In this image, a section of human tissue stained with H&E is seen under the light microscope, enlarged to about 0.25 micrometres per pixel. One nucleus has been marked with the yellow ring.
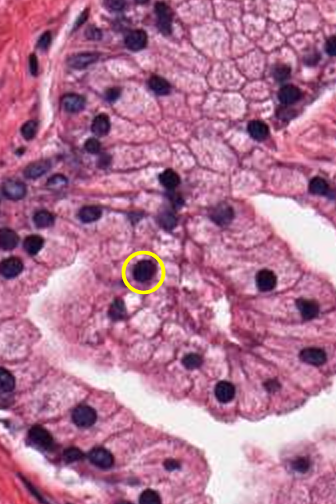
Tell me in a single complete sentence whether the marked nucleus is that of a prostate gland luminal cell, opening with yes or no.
Yes, a prostate gland luminal cell is the owner of the marked nucleus.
